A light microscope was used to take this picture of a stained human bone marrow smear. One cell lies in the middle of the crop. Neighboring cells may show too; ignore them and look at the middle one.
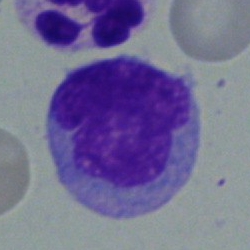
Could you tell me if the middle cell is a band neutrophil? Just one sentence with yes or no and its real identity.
No, the centre cell counts as a monocyte, not as a band neutrophil.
